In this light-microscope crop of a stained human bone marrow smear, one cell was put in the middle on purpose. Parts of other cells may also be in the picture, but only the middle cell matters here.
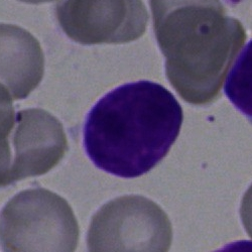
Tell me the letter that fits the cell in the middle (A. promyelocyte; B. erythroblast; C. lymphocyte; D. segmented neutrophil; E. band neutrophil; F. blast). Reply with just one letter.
C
